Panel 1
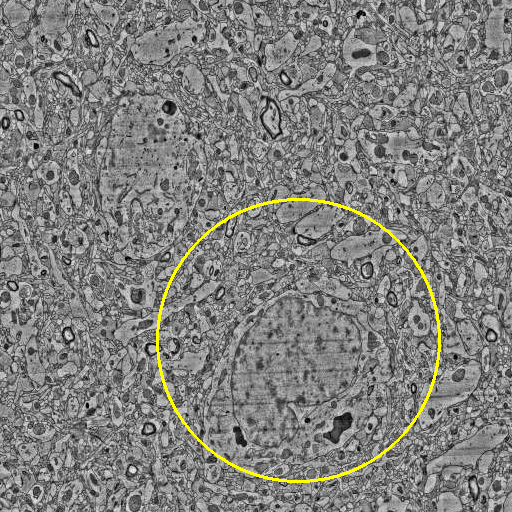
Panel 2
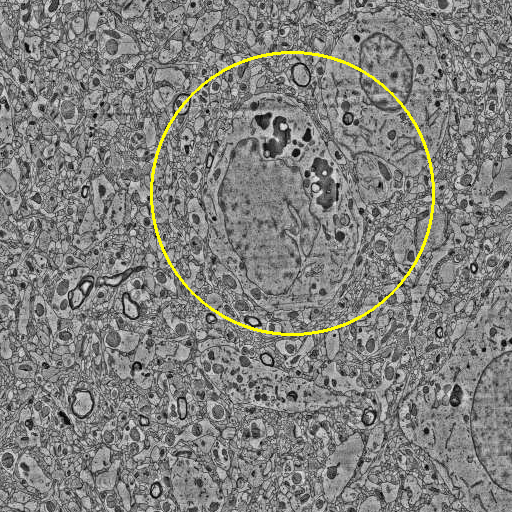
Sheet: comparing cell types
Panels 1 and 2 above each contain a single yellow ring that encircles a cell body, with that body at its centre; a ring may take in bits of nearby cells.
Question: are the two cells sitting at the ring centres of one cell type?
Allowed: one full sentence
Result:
Yes, the ring-centre cells in Panel 1 and Panel 2 are of one type.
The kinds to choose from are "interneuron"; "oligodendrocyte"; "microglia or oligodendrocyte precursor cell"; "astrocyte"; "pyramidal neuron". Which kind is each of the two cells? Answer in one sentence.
The cell in the first picture is an interneuron, and so is the one in the second.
